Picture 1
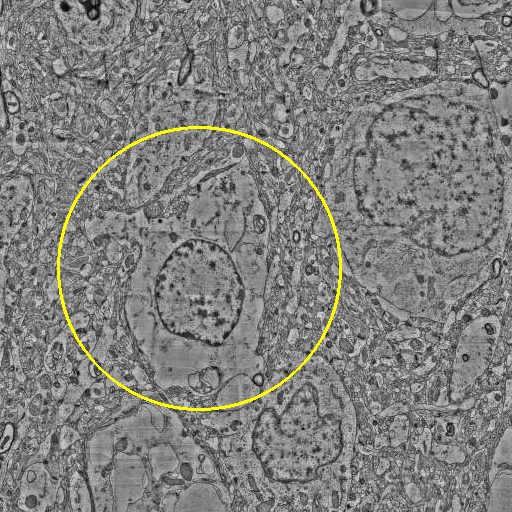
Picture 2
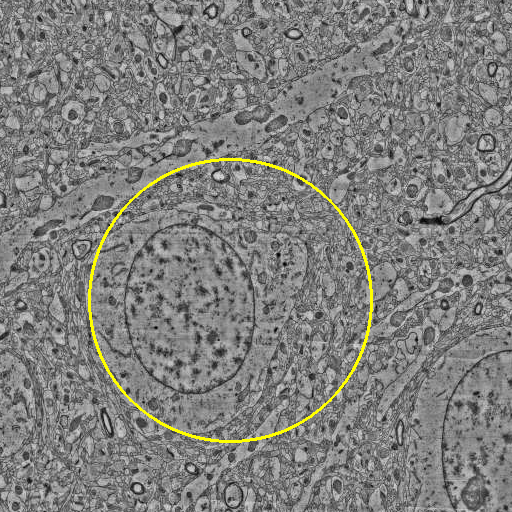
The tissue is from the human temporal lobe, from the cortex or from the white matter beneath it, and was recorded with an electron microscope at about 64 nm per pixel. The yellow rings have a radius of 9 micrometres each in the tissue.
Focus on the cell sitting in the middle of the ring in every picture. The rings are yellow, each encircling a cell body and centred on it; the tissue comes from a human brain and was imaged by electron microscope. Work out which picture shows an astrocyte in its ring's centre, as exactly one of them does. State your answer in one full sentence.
In picture 1, the ring is centred on the cell in question.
